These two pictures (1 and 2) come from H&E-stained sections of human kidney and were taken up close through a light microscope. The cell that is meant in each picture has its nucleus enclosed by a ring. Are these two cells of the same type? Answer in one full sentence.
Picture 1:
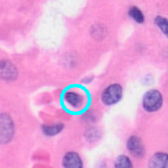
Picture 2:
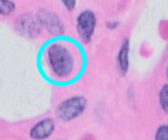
No, the types are not the same, since picture 1 shows an endothelial cell and picture 2 a collecting duct cell.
